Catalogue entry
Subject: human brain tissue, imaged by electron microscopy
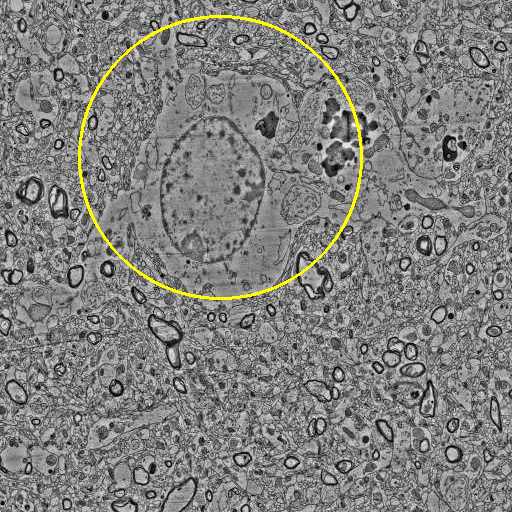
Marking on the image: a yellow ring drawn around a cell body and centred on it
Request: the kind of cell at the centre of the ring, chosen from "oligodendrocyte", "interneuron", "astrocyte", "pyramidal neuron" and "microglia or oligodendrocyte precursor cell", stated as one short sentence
The ring has an astrocyte at its centre.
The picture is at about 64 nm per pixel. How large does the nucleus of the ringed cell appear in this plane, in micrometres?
In this plane the nucleus measures roughly 9 by 7 micrometres.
